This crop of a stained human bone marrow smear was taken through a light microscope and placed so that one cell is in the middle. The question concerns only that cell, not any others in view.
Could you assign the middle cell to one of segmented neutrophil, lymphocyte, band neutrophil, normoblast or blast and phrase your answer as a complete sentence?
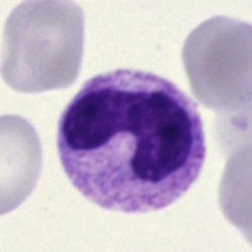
The target cell in the middle of the crop is a band neutrophil.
